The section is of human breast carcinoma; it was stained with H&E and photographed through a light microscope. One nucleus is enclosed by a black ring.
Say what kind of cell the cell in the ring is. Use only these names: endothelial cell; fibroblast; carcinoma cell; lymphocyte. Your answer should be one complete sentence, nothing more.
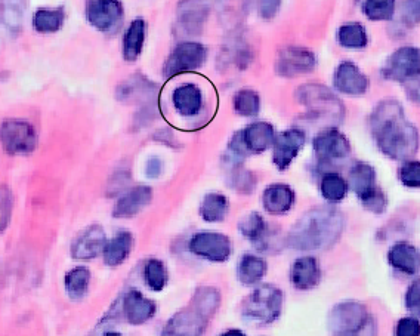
For cell typing purposes, the cell in the ring is a lymphocyte.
